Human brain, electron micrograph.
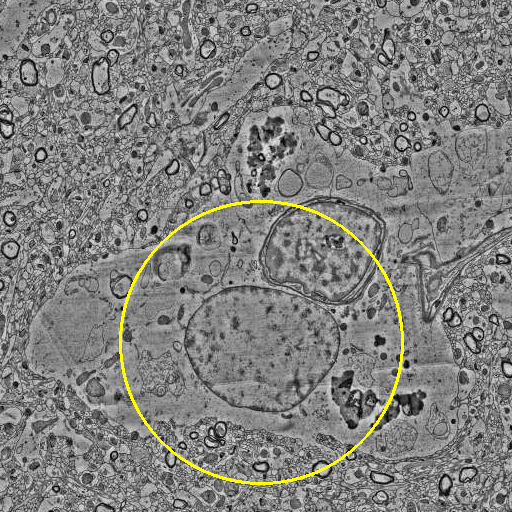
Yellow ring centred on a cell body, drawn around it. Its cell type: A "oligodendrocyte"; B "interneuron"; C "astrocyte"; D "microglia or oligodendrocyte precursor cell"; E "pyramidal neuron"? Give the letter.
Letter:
C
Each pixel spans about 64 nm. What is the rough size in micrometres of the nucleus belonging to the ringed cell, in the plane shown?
In this plane the nucleus spans approximately 10 by 8 micrometers.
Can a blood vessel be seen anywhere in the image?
Yes, a blood vessel can be seen.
